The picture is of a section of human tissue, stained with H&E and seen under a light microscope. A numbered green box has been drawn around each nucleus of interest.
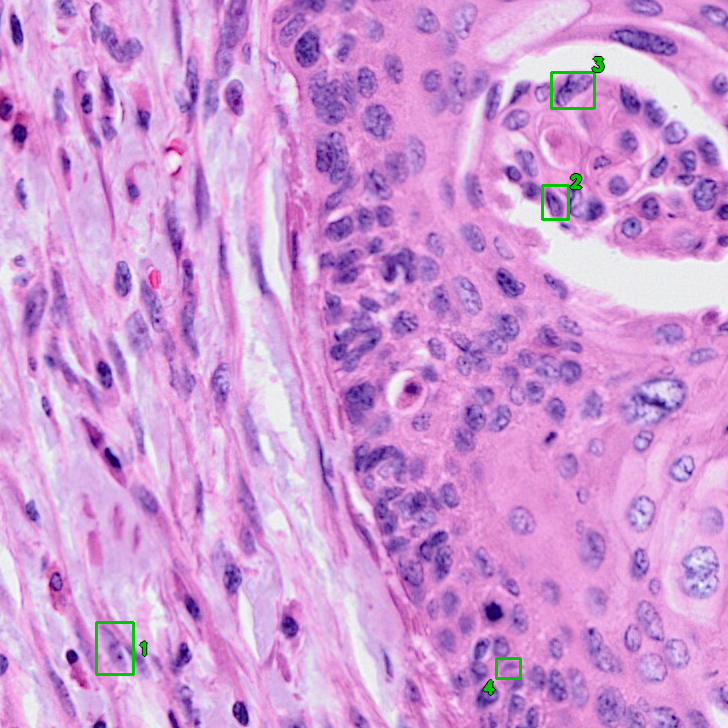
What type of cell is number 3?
squamous carcinoma cell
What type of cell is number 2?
squamous carcinoma cell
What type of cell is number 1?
fibroblast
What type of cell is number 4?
squamous carcinoma cell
